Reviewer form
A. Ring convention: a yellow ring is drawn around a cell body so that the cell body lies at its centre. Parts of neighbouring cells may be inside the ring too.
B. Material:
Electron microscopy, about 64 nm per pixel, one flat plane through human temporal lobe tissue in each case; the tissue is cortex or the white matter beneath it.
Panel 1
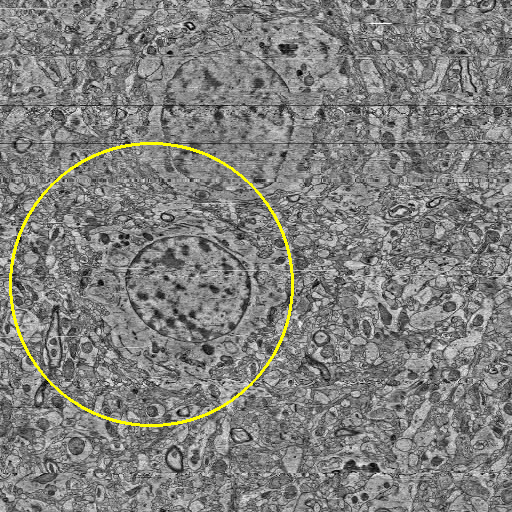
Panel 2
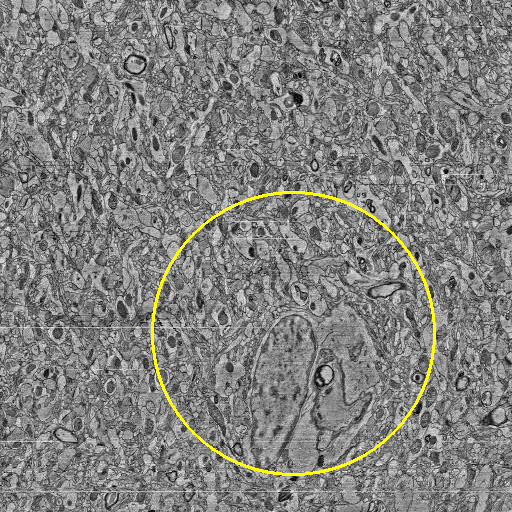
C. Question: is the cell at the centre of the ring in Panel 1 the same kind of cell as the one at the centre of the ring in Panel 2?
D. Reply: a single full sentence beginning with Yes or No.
No, the cells in Panel 1 and Panel 2 are two kinds of cell.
